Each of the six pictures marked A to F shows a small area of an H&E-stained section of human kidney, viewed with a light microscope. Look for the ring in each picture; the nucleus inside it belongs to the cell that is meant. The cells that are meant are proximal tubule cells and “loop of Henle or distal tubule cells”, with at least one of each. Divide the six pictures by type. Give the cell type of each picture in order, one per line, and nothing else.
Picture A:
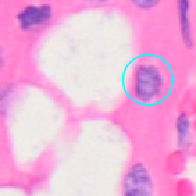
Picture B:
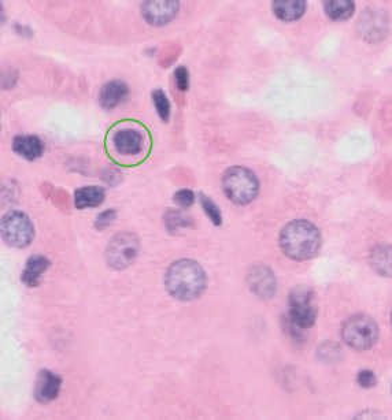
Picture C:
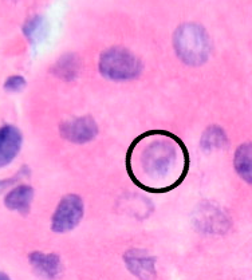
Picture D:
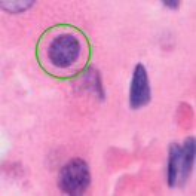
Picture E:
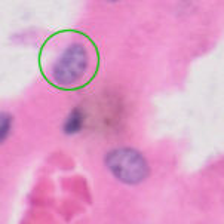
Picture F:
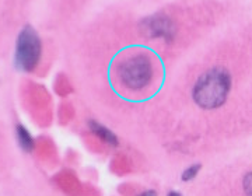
loop of Henle or distal tubule cell
loop of Henle or distal tubule cell
proximal tubule cell
proximal tubule cell
loop of Henle or distal tubule cell
proximal tubule cell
